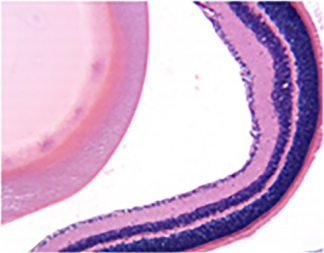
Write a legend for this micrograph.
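This section of an eye shows the pink lens at the left and the retina running as a smooth curved band beside it. The retina's deep purple nuclear layers alternate with paler pink layers in orderly stripes, and the space in front of it is empty of scattered cells.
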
